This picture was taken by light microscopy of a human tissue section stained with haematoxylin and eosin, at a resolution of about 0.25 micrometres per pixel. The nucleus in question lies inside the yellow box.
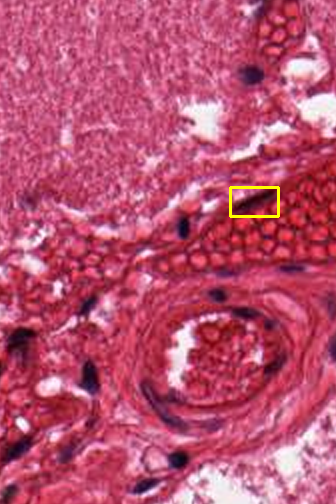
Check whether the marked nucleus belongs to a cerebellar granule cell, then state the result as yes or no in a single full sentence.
No, the marked nucleus is that of a supporting cell instead of a cerebellar granule cell.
